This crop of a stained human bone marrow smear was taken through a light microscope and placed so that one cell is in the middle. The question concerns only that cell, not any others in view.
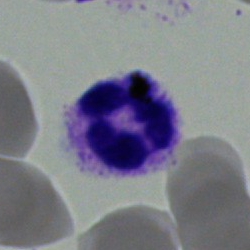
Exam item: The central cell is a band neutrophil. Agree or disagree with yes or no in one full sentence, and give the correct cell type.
No, that is not a band neutrophil; the middle cell is a segmented neutrophil.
